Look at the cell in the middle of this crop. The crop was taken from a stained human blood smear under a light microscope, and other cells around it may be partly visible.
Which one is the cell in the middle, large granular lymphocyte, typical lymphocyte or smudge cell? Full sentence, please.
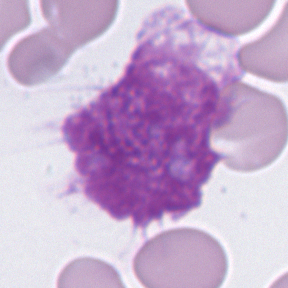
The centrally placed cell is classified as a smudge cell.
